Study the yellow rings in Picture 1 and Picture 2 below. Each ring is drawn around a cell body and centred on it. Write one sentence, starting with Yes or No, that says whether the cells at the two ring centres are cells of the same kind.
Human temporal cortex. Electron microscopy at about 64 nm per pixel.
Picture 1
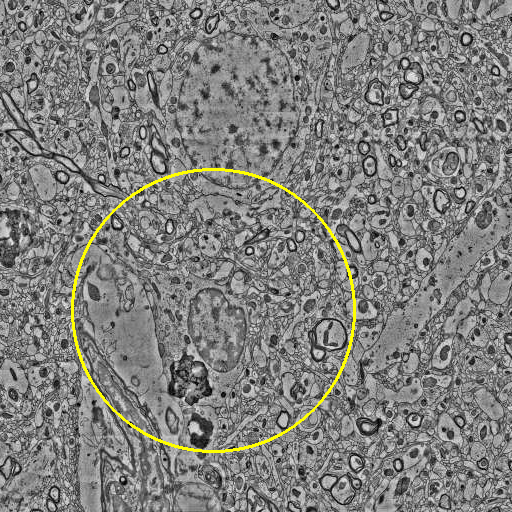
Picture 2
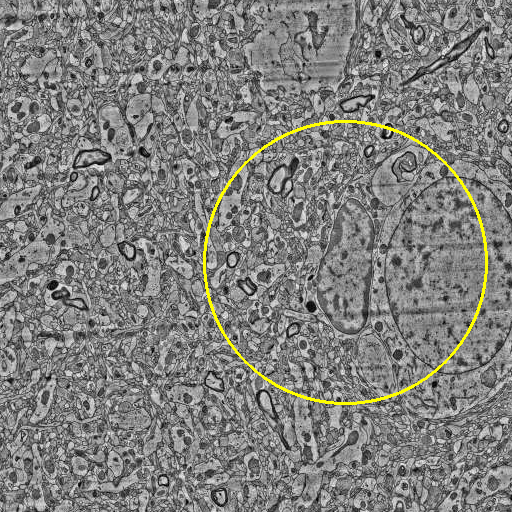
No, the cells at the ring centres are of two kinds.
